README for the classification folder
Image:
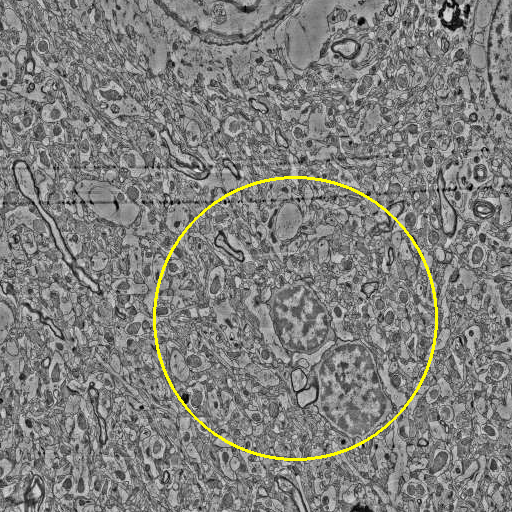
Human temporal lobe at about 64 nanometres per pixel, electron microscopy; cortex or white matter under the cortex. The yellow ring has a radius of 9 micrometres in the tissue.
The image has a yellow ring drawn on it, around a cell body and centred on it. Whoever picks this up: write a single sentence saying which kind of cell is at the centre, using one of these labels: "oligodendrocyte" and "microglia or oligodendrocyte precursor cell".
This cell body is that of an oligodendrocyte.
